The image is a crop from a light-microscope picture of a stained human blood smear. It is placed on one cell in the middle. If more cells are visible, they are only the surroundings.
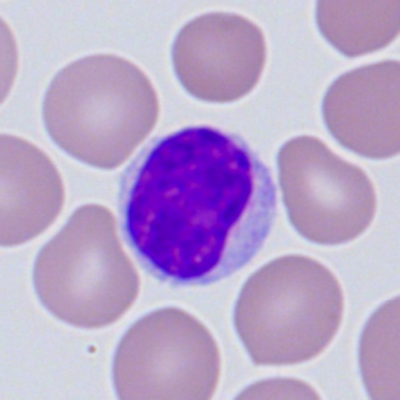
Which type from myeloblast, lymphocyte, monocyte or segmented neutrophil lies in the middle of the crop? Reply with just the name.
lymphocyte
